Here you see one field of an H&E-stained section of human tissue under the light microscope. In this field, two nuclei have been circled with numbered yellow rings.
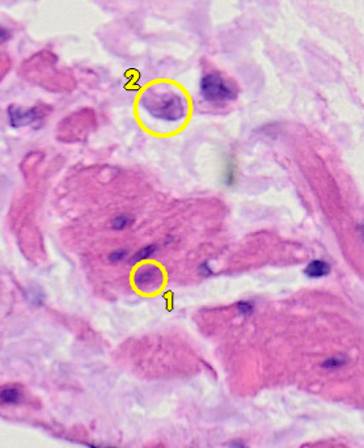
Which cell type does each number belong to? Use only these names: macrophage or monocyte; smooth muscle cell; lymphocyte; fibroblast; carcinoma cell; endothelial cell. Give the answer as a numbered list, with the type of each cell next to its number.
1. smooth muscle cell
2. fibroblast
